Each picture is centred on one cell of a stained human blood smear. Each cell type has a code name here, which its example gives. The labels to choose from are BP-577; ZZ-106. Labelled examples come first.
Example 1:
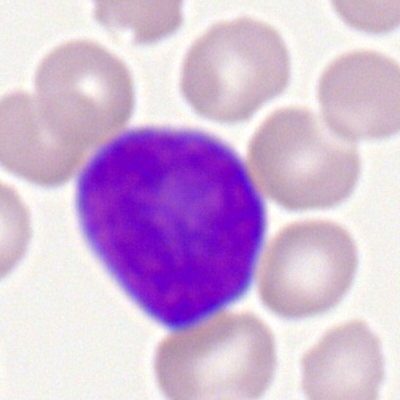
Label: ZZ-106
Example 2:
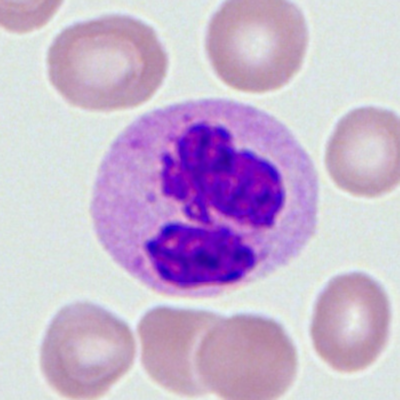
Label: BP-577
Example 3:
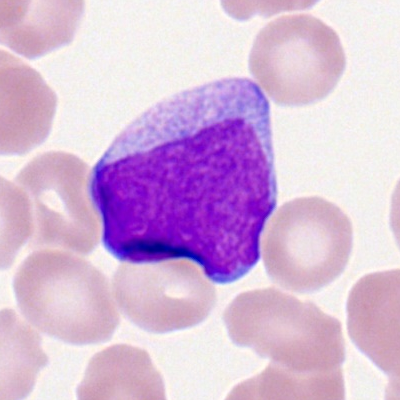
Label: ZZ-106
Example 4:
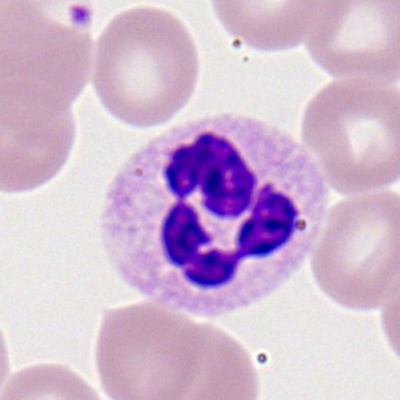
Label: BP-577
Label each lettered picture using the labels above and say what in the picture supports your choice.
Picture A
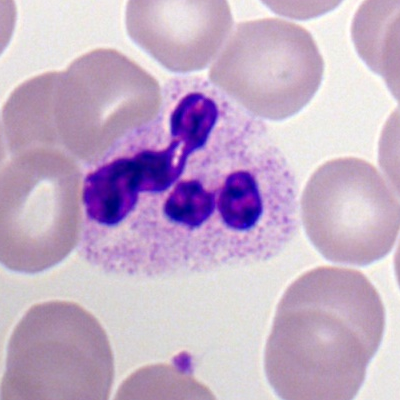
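Answer: BP-577. The cytoplasm is plentiful and pale pink.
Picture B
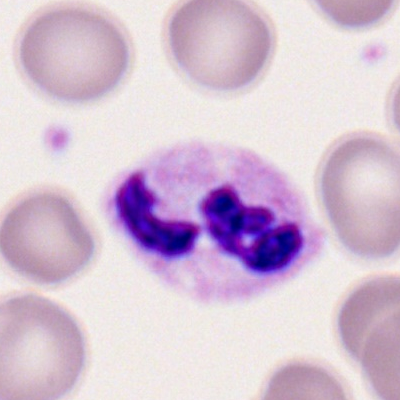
Answer: BP-577. The nucleus is split into separate lobes linked by thin strands.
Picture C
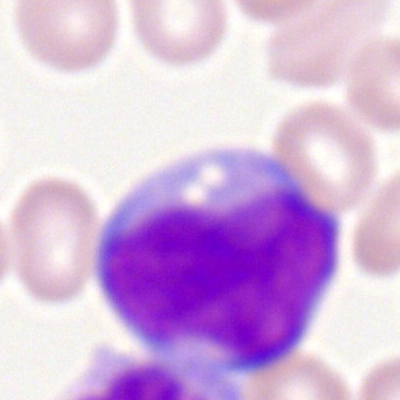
Answer: ZZ-106. The nucleus fills most of the cell.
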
